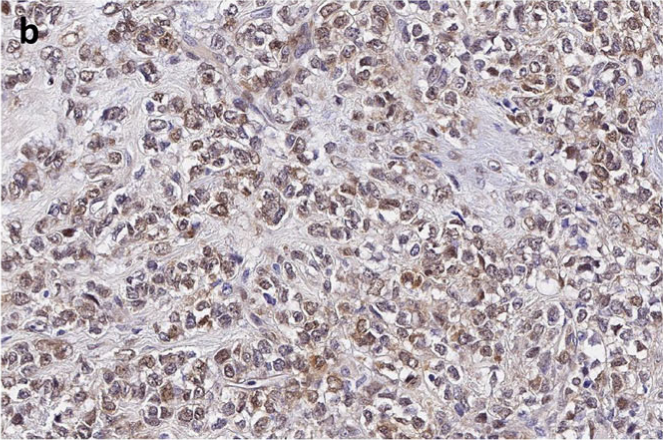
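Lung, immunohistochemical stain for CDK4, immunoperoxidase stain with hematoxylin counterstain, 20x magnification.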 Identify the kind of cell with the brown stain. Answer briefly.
Tumor cells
